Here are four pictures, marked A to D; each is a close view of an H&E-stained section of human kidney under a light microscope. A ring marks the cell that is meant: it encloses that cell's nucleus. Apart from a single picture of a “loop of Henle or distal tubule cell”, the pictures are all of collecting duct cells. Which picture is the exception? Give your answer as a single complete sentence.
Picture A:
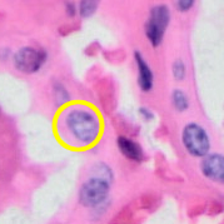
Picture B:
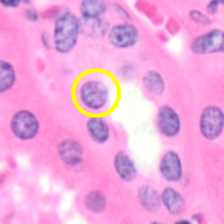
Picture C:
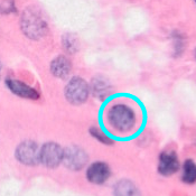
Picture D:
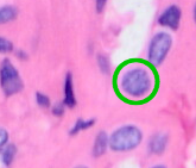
Picture C shows the “loop of Henle or distal tubule cell”.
